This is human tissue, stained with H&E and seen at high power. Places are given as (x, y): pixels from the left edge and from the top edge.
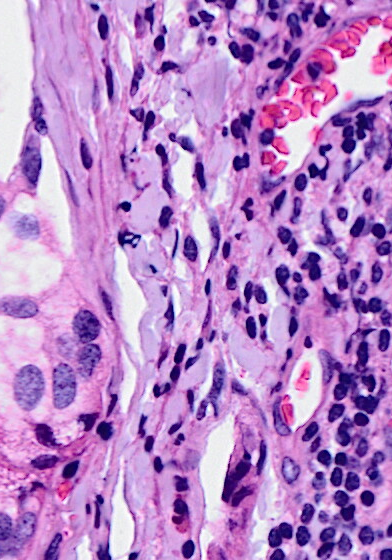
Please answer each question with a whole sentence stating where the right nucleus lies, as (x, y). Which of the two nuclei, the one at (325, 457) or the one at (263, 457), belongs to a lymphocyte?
Housed in a lymphocyte is the nucleus at (325, 457), not the other one.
